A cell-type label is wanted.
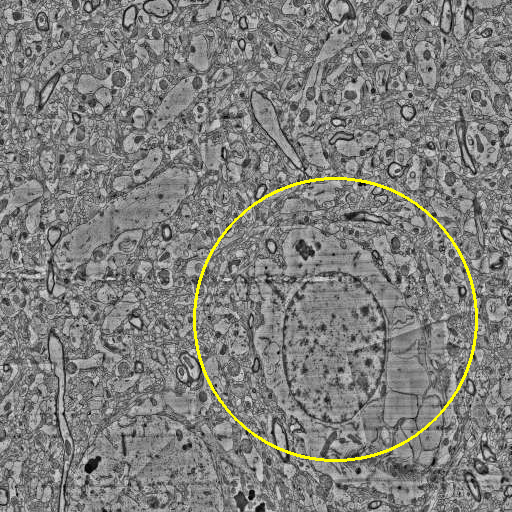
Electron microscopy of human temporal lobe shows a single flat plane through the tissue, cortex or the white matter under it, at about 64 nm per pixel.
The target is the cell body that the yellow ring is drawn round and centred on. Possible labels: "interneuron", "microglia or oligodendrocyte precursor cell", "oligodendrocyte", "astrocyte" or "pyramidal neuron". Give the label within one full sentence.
Of the labels offered, the cell in the middle of the yellow ring is an astrocyte.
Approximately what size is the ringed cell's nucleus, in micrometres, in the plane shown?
Approximately 10 micrometres long and 7 micrometres wide, in this plane.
